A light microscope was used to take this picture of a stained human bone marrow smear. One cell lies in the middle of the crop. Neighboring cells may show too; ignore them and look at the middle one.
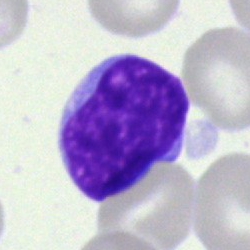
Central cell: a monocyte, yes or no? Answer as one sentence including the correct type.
No, what occupies the middle of the crop is a blast and not a monocyte.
